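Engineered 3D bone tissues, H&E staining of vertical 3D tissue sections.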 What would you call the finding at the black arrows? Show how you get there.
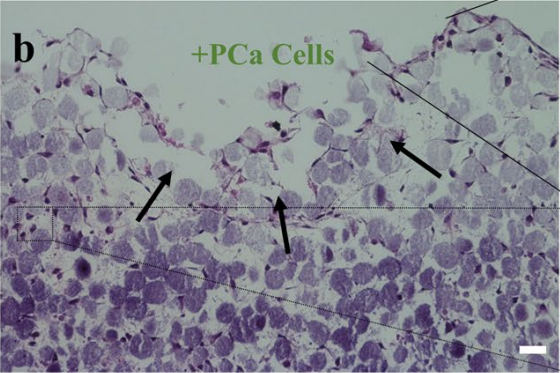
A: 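The tissue surface is ragged and broken. There are empty gaps in the upper tissue. No continuous flattened lining covers the surface. So: compromised tissue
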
